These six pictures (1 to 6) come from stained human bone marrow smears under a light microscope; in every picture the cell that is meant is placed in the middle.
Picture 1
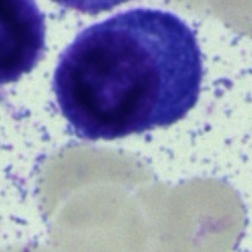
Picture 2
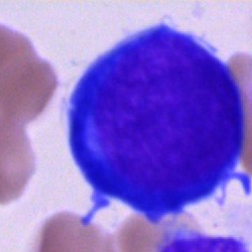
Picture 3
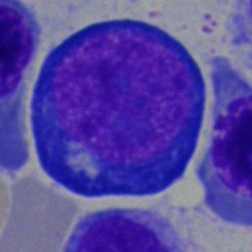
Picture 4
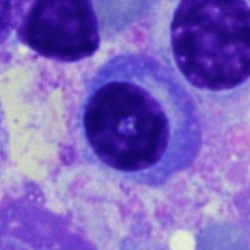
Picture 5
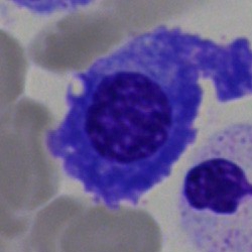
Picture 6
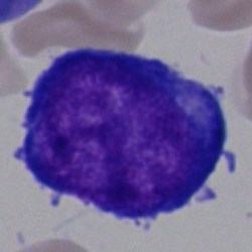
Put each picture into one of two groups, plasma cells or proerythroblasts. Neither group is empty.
1: plasma cell
2: proerythroblast
3: proerythroblast
4: plasma cell
5: plasma cell
6: proerythroblast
